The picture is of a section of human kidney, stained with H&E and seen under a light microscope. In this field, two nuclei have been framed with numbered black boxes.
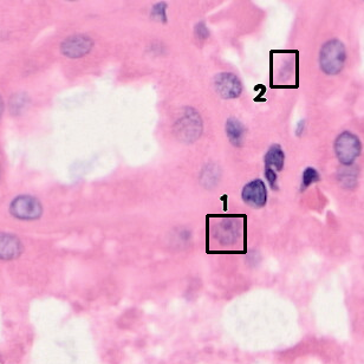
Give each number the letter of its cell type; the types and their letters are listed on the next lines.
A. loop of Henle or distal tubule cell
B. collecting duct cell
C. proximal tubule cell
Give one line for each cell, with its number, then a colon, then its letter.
1: C
2: A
